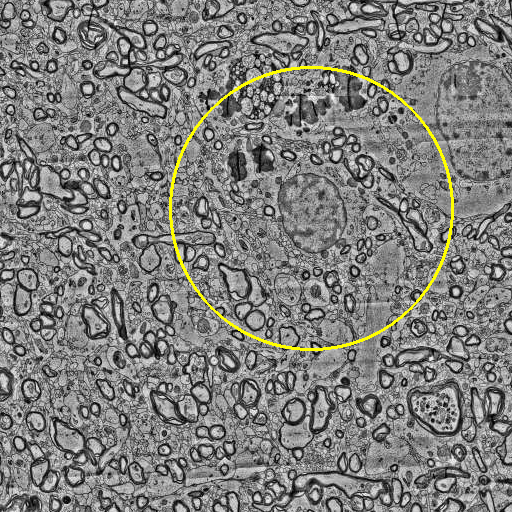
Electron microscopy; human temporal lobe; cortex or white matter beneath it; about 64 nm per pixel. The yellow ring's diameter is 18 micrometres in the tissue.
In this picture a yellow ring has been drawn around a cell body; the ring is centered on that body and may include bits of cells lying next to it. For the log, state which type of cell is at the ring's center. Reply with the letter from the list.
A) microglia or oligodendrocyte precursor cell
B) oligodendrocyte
B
